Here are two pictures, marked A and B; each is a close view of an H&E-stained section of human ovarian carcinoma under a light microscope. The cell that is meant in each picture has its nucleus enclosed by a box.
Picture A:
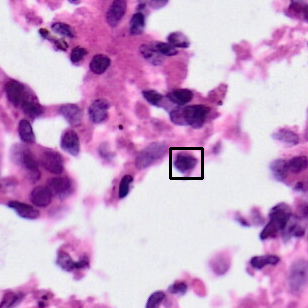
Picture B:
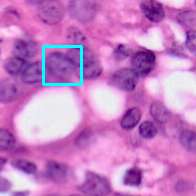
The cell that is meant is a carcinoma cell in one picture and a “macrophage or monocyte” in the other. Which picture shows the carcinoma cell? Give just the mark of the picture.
B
